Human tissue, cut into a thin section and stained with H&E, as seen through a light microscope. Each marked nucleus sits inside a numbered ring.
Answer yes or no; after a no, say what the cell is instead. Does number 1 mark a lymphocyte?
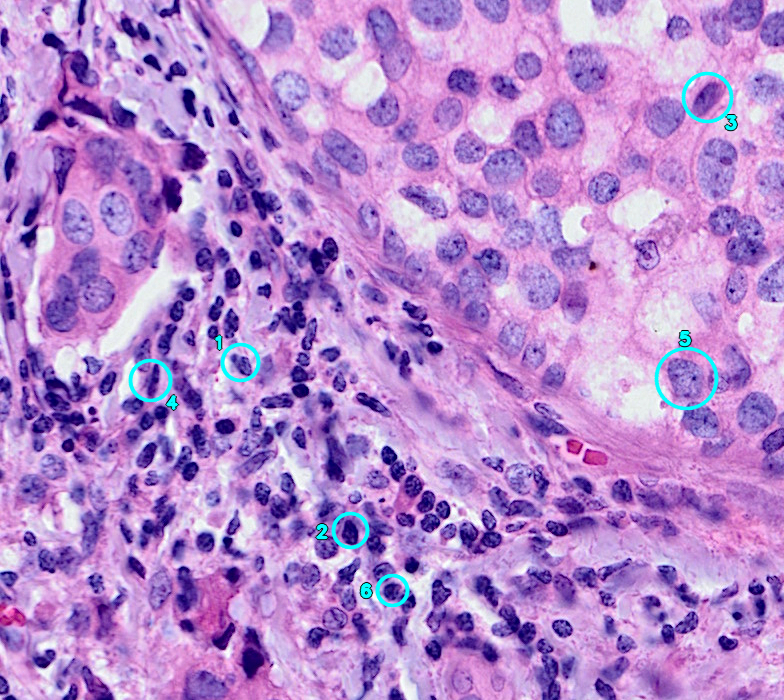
Yes.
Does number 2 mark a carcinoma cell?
No, it is a lymphocyte.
